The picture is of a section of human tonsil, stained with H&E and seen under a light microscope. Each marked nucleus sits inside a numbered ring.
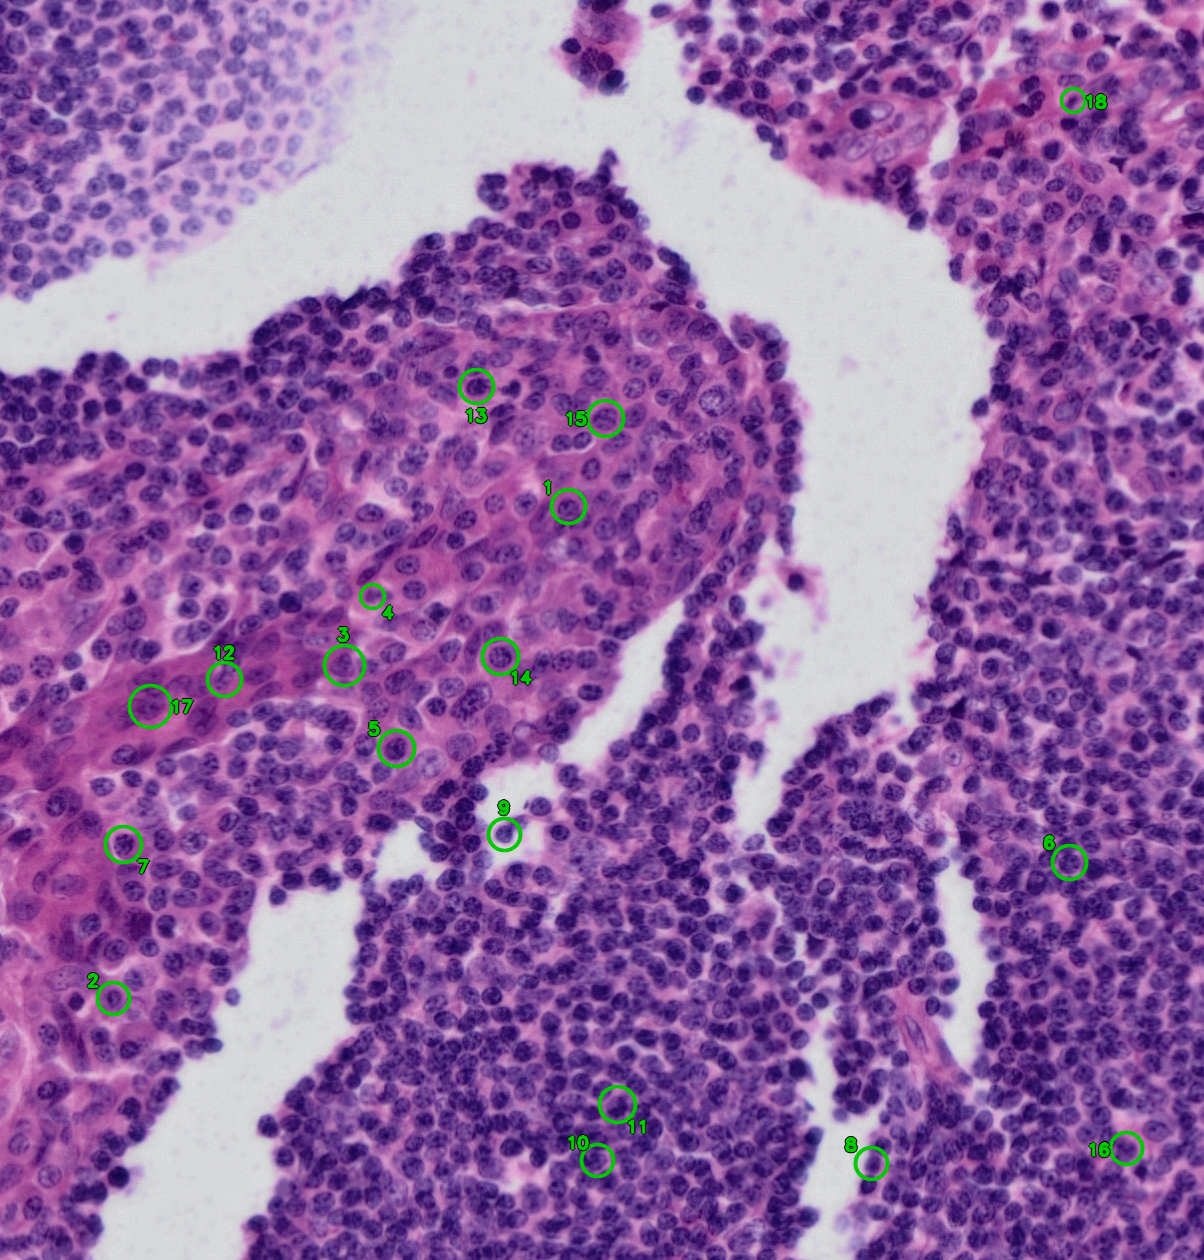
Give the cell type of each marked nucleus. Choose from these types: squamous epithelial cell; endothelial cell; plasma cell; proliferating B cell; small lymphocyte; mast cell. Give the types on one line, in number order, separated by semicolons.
plasma cell; plasma cell; squamous epithelial cell; plasma cell; plasma cell; small lymphocyte; plasma cell; small lymphocyte; small lymphocyte; small lymphocyte; small lymphocyte; squamous epithelial cell; plasma cell; plasma cell; plasma cell; proliferating B cell; squamous epithelial cell; endothelial cell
